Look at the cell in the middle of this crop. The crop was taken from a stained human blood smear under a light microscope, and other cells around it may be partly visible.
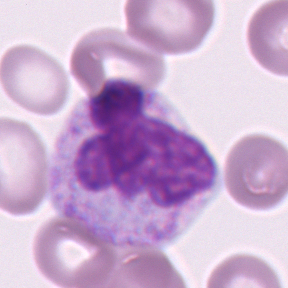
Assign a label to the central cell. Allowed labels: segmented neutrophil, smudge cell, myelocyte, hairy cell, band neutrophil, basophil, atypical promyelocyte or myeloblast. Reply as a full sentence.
Answering briefly, the cell in the middle is a segmented neutrophil.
